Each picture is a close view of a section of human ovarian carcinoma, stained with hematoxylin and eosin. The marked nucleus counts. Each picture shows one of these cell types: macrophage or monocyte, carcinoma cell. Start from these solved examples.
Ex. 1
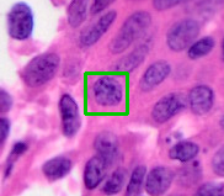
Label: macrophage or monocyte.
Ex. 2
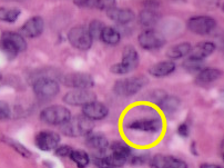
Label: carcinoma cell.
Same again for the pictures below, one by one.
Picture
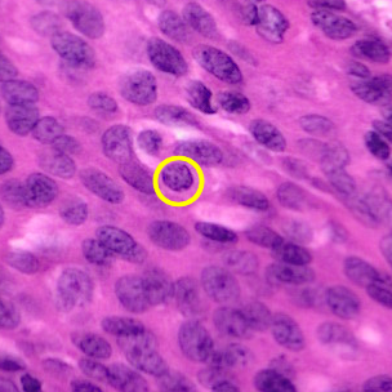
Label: macrophage or monocyte.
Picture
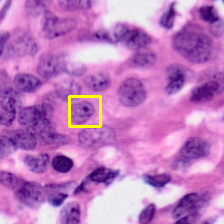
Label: macrophage or monocyte.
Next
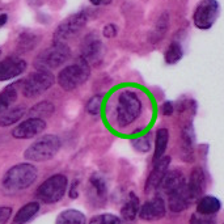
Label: macrophage or monocyte.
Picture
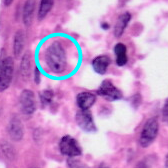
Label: macrophage or monocyte.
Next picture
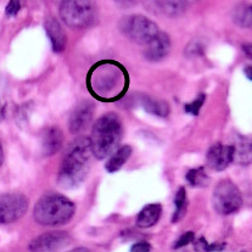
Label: carcinoma cell.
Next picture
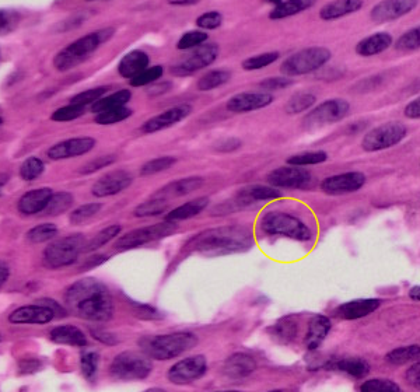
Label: macrophage or monocyte.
